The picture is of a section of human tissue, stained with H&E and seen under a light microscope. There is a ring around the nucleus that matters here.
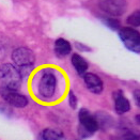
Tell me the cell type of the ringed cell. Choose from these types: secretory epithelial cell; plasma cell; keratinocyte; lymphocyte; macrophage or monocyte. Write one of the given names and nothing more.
macrophage or monocyte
